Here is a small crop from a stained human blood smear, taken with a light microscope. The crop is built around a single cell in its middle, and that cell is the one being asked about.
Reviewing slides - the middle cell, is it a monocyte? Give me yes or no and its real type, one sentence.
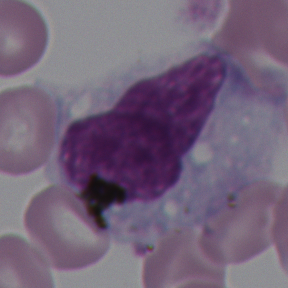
Yes, as for the central cell, it is a monocyte.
